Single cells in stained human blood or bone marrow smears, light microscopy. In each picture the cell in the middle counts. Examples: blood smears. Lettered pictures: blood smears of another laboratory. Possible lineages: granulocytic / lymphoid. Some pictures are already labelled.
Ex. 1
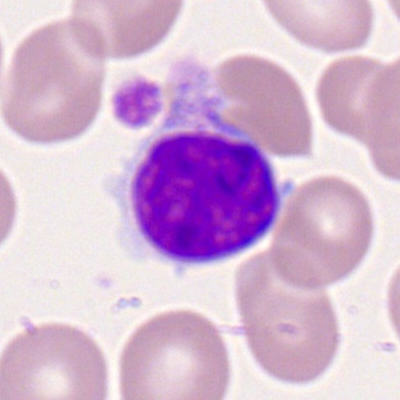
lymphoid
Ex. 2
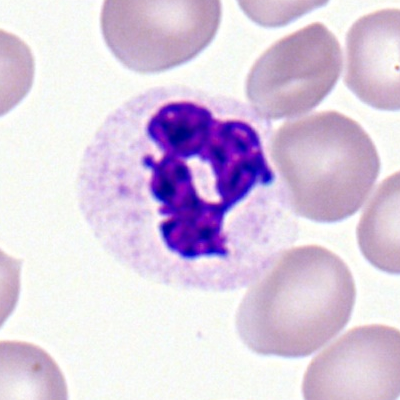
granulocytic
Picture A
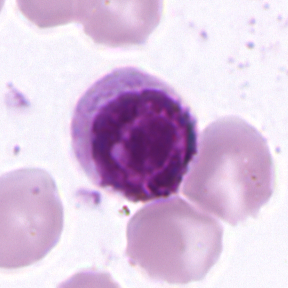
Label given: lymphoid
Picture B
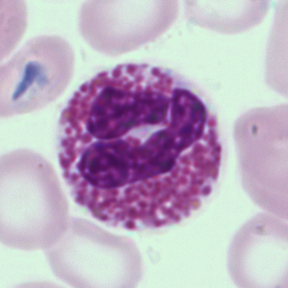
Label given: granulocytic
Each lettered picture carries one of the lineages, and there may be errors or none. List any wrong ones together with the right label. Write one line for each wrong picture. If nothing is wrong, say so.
All correct.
